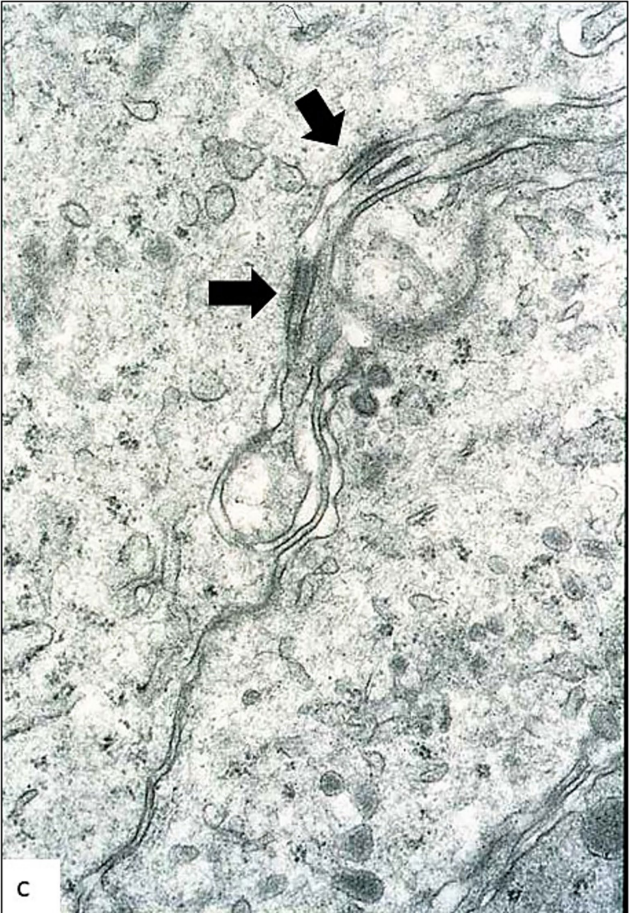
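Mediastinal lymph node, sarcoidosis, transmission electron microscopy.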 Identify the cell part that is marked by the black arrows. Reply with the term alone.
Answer: Subplasmalemmal linear densities.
